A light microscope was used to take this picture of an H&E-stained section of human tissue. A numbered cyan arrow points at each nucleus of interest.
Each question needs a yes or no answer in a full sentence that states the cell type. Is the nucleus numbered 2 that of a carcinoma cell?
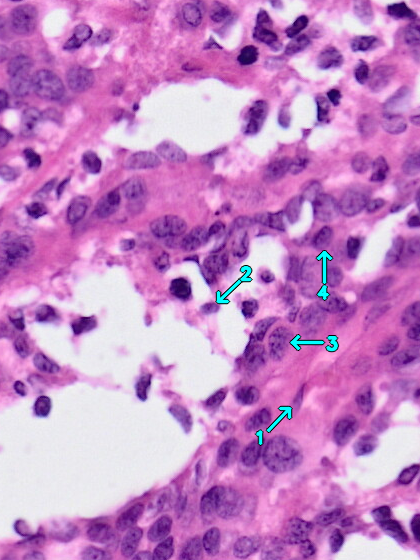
Yes, regarding number 2, the cell is a carcinoma cell.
